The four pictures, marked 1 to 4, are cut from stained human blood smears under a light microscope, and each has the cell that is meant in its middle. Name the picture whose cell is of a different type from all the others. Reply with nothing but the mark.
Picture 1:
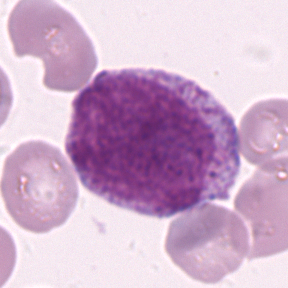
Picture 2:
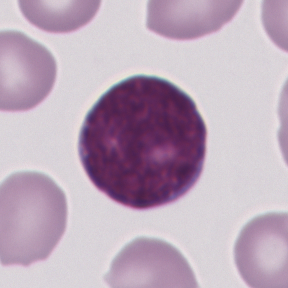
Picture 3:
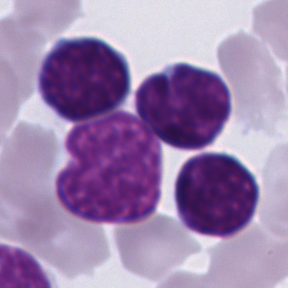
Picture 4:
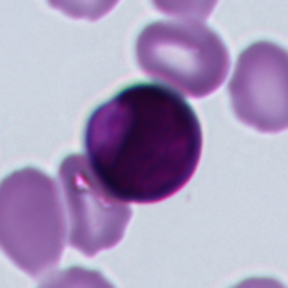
1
